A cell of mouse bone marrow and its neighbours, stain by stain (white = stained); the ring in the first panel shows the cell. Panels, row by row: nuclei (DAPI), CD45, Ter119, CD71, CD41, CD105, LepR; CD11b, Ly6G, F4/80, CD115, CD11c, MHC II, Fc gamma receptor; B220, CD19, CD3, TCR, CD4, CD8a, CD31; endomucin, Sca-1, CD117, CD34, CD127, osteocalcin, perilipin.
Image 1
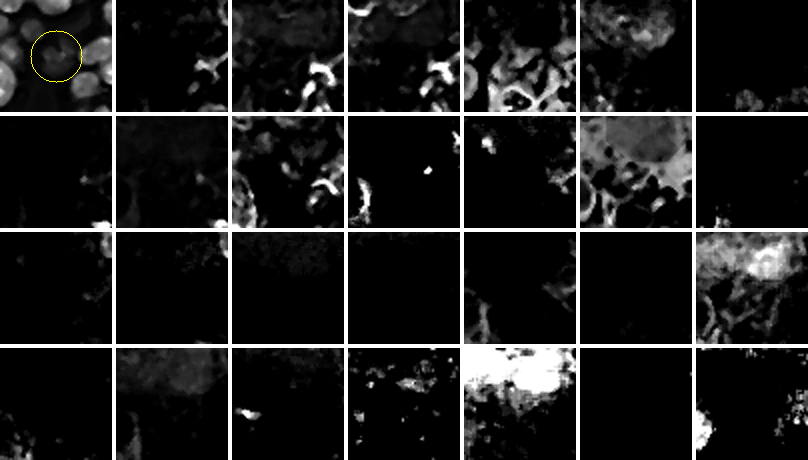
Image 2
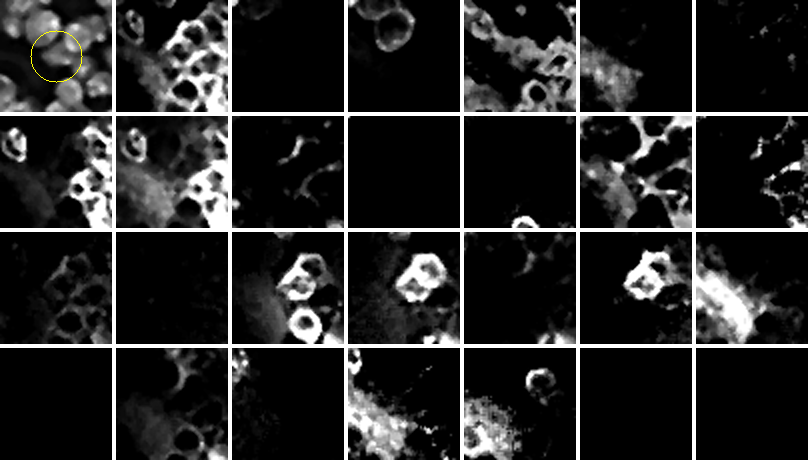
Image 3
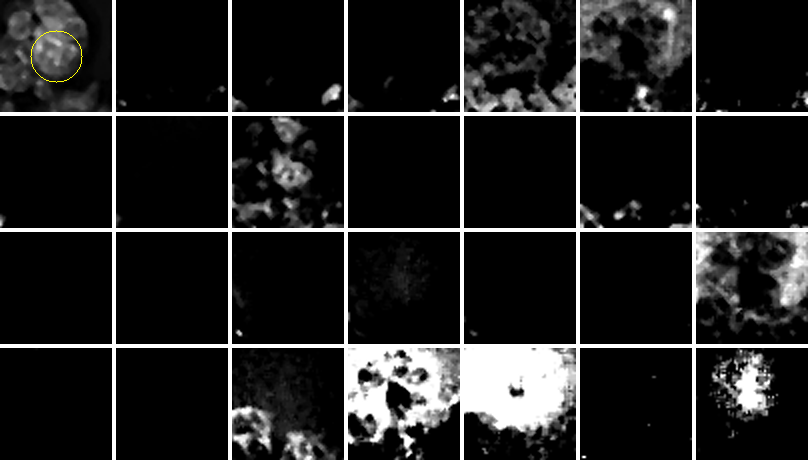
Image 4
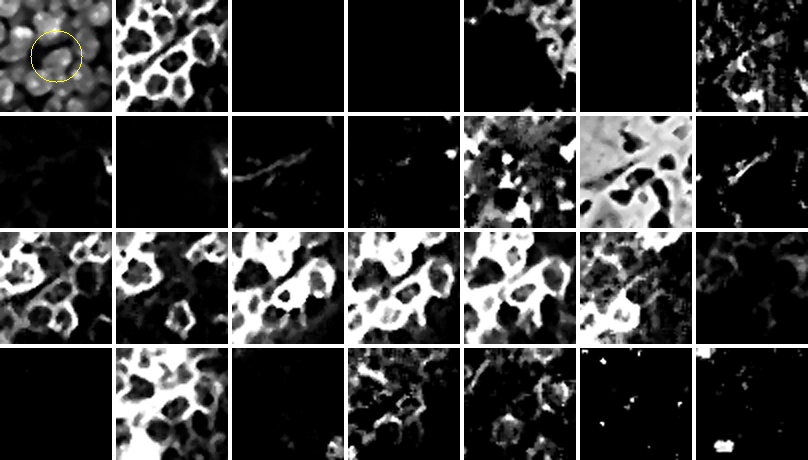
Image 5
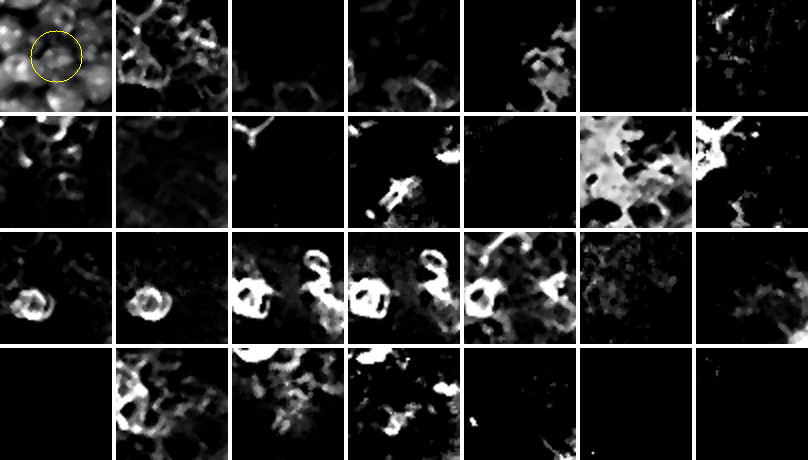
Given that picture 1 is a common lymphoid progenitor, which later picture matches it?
3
